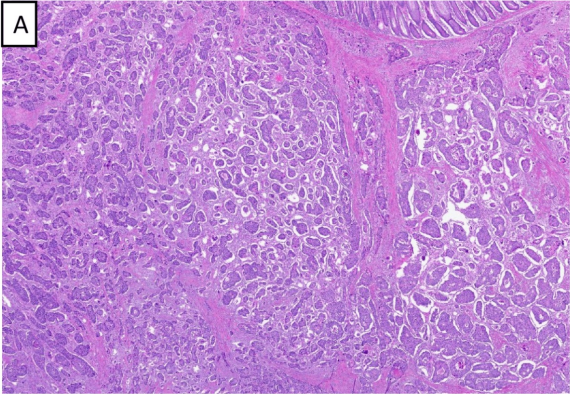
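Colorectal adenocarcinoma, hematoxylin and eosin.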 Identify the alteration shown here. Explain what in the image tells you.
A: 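Numerous small tumour cell clusters fill the field. Many clusters are surrounded by clear spaces. Fibrous septa divide the tumour into lobules. That points to this answer: micropapillary pattern.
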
